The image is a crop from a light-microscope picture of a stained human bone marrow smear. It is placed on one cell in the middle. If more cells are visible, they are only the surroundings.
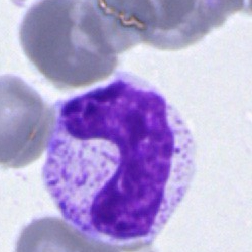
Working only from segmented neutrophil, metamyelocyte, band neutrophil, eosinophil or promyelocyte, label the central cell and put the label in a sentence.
Seen at the centre of the crop is a band neutrophil.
